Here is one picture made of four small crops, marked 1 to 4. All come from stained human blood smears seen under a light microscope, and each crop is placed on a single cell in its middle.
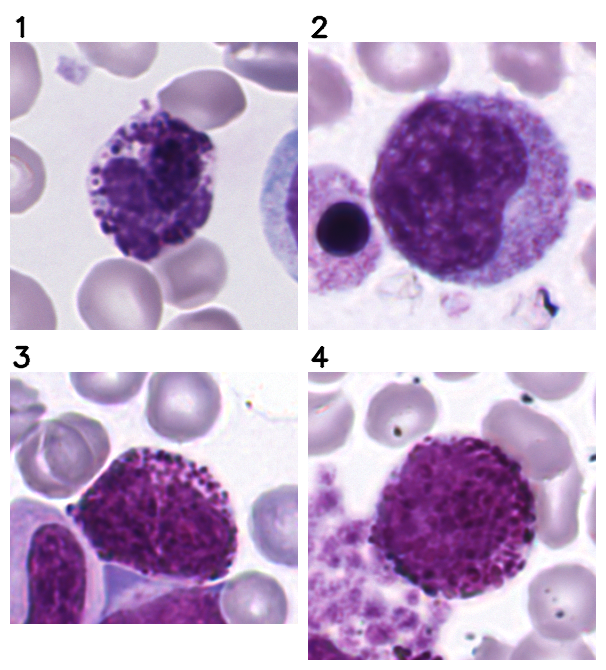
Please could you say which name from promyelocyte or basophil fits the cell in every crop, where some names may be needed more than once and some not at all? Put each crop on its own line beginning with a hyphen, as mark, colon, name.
- 1: basophil
- 2: promyelocyte
- 3: basophil
- 4: basophil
